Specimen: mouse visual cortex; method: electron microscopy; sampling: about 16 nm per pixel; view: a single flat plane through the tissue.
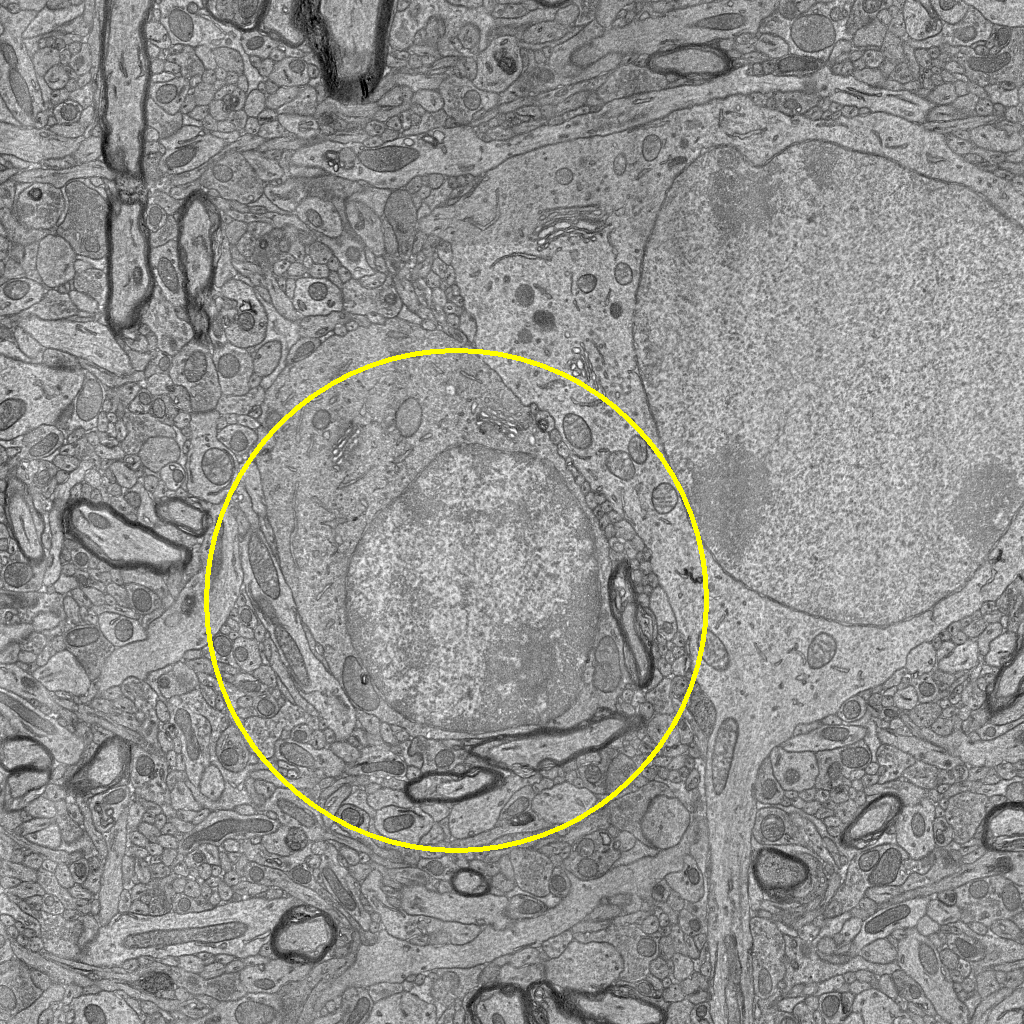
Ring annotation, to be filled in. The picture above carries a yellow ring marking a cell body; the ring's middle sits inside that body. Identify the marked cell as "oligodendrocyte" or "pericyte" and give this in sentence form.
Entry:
The cell at the middle of the ring is an oligodendrocyte.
